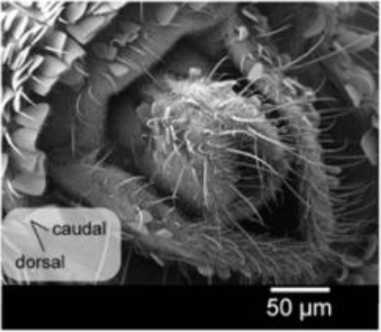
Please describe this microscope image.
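This scanning electron micrograph shows the tip of an insect abdomen viewed at the surface, with a rounded central lobe framed by a curved rim. The central lobe is densely covered with short, fine hairs, and longer, slender bristles project outward from it. Around the lobe the surface carries flattened, overlapping scales that appear as bright plates at the edges of the image. The view shows only the outer cuticle and its outgrowths, with no internal cells visible.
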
